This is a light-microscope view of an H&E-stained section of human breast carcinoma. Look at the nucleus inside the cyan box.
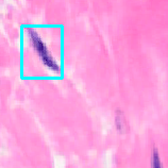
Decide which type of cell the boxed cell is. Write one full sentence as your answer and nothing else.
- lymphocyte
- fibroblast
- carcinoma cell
As classified here, the boxed cell is a fibroblast.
